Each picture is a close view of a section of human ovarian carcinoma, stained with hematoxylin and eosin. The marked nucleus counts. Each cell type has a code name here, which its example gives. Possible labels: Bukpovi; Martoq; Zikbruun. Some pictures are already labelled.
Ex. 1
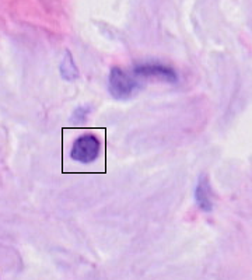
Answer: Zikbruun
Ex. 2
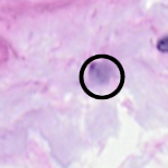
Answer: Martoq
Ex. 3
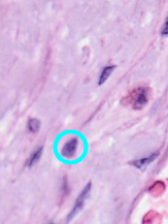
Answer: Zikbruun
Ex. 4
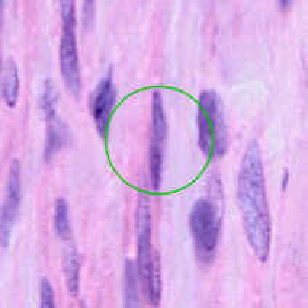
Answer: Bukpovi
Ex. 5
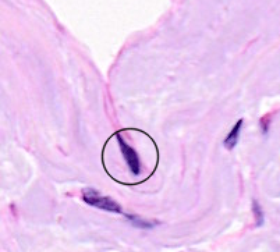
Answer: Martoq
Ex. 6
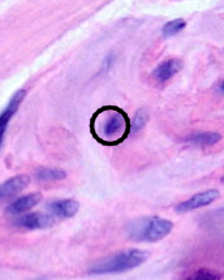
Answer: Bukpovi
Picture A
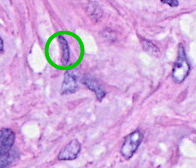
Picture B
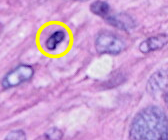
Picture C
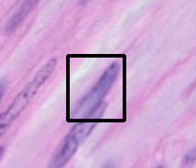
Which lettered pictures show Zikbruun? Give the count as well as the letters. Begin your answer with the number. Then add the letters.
1, namely B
